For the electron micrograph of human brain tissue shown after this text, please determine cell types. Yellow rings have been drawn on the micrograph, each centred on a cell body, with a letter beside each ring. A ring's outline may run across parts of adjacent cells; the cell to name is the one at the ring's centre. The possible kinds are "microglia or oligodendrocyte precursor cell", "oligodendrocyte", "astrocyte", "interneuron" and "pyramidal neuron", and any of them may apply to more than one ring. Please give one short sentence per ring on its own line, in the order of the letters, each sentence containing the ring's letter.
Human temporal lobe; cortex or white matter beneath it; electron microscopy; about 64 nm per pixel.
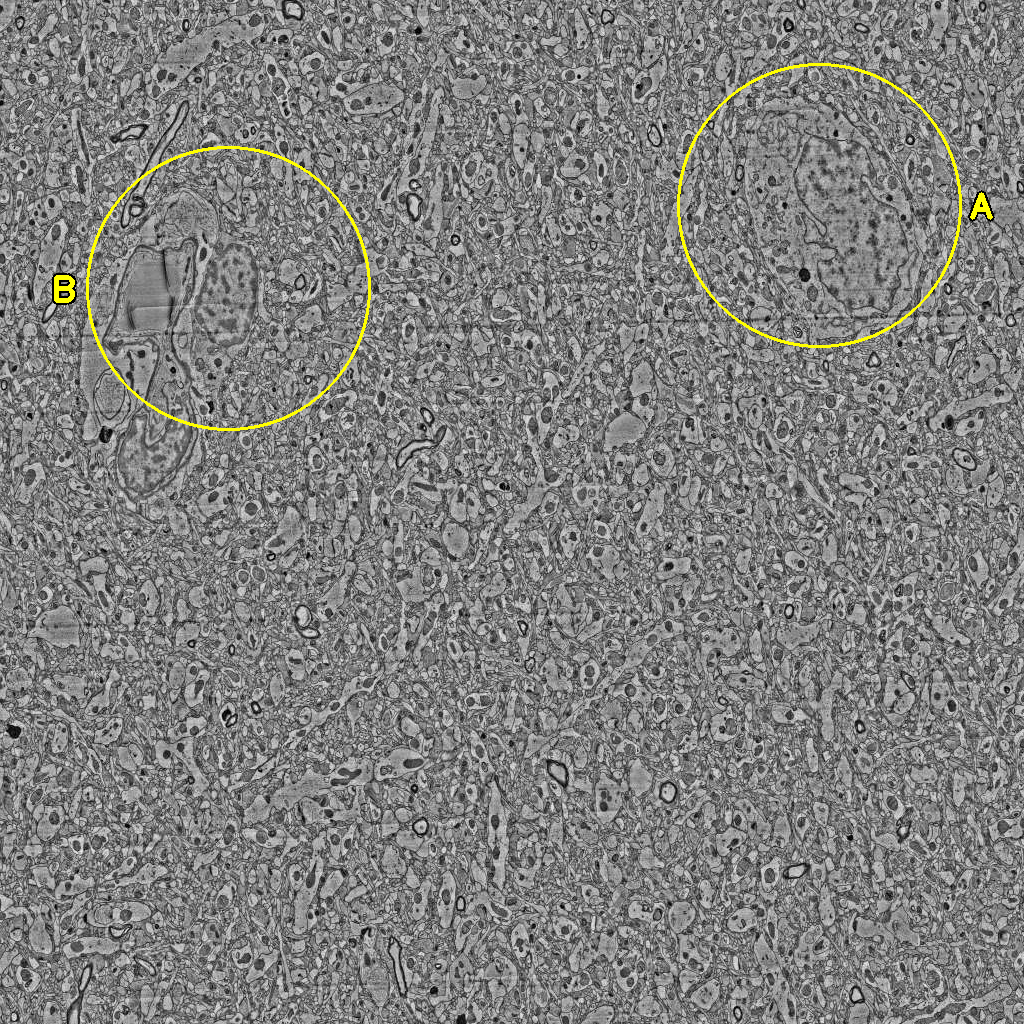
Ring A is set around an interneuron.
Ring B is set around an oligodendrocyte.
